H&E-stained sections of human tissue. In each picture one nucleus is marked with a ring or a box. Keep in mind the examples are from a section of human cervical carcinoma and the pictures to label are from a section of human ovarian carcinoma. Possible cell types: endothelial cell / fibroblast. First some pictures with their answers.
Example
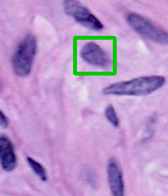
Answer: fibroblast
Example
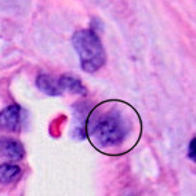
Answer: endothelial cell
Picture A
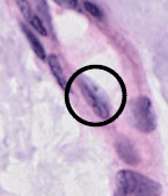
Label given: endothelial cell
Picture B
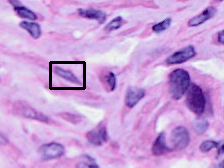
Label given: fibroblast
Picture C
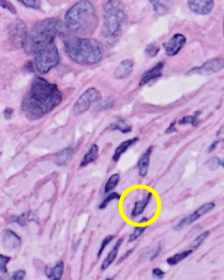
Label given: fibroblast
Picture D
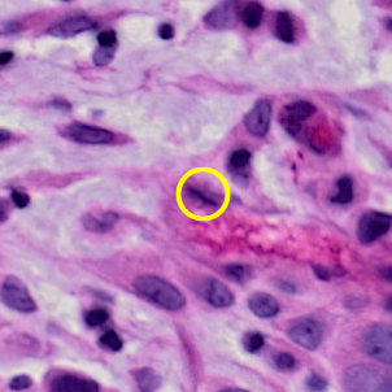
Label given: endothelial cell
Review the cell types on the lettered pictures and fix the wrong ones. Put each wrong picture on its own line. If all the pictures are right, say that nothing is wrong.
All labels are correct.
